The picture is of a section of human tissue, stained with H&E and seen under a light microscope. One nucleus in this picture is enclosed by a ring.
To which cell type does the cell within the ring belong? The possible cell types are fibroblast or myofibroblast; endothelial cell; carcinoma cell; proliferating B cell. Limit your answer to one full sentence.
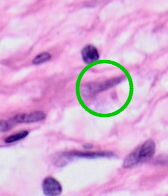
It is a fibroblast or myofibroblast that the cell within the ring represents.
